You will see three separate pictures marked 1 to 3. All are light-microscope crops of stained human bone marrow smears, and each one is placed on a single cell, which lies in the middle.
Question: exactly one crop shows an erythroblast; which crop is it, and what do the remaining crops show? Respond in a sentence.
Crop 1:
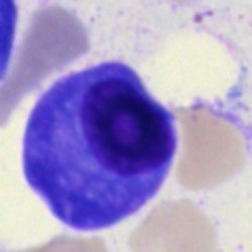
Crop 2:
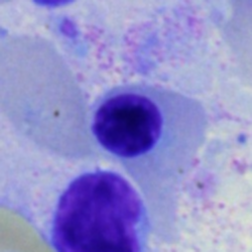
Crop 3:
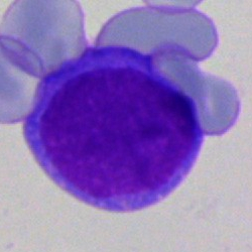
Of the crops, crop 2 shows an erythroblast, while crop 1 is a plasma cell and crop 3 is a blast.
